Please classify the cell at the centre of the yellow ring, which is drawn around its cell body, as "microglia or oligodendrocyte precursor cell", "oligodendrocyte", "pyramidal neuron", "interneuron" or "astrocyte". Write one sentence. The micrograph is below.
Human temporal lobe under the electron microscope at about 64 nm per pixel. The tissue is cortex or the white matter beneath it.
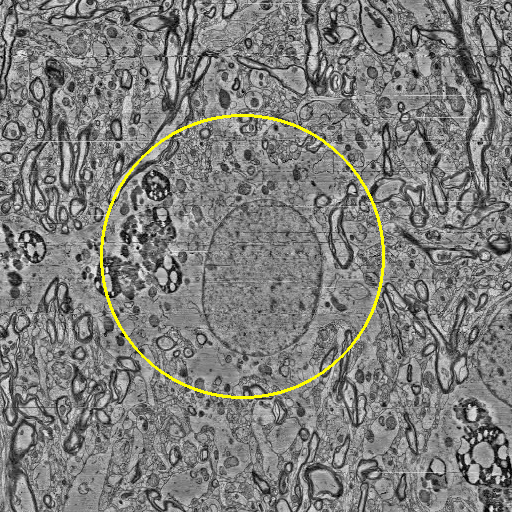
The cell at the ring's centre is classified as an astrocyte.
